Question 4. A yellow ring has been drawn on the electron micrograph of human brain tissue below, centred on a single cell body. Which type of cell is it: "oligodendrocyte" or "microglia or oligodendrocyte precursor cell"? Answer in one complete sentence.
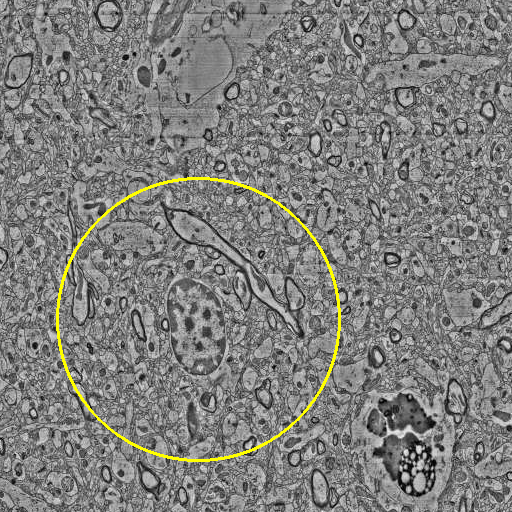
This cell body belongs to a microglial cell or oligodendrocyte precursor cell.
